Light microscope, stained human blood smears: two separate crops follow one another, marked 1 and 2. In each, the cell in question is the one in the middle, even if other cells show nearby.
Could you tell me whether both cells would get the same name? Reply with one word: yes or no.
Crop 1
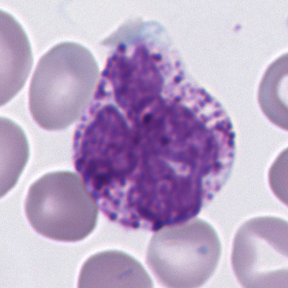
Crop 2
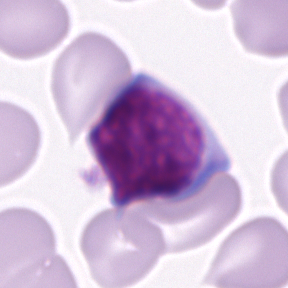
no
